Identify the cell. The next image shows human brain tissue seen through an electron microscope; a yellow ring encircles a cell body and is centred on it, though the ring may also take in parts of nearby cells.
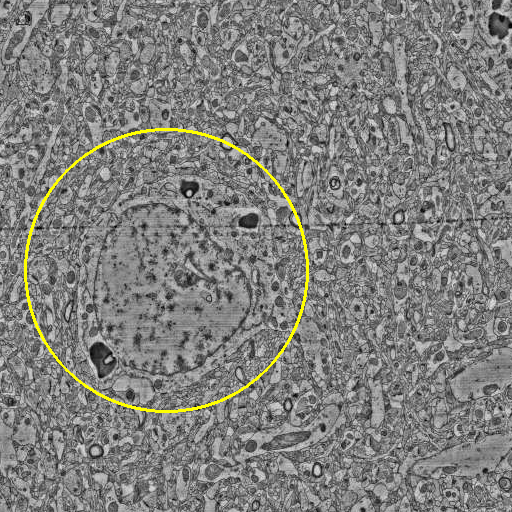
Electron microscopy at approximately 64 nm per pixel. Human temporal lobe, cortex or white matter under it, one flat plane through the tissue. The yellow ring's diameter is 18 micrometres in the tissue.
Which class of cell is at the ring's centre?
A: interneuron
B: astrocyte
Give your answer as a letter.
A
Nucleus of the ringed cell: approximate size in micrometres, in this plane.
In this plane the nucleus measures roughly 11 micrometres across.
